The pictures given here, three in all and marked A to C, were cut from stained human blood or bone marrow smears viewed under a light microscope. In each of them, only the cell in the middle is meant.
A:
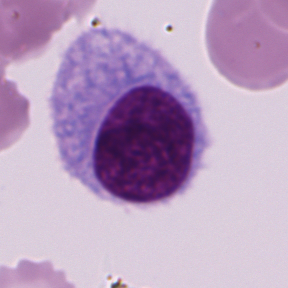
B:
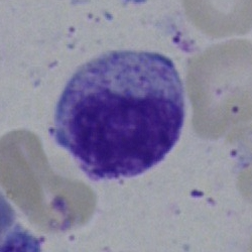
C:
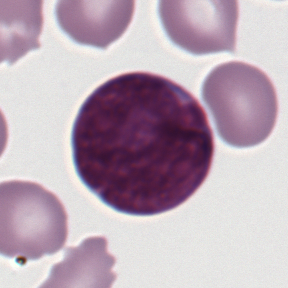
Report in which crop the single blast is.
C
